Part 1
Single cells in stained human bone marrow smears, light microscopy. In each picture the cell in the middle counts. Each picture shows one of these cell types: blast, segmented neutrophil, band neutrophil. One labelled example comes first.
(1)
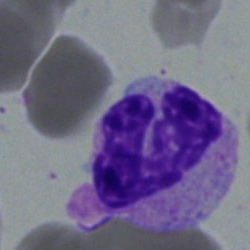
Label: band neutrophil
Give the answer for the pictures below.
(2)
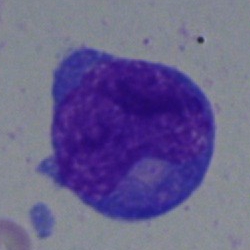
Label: blast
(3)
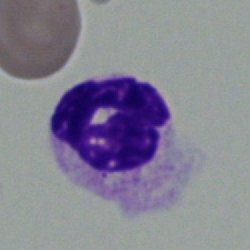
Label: segmented neutrophil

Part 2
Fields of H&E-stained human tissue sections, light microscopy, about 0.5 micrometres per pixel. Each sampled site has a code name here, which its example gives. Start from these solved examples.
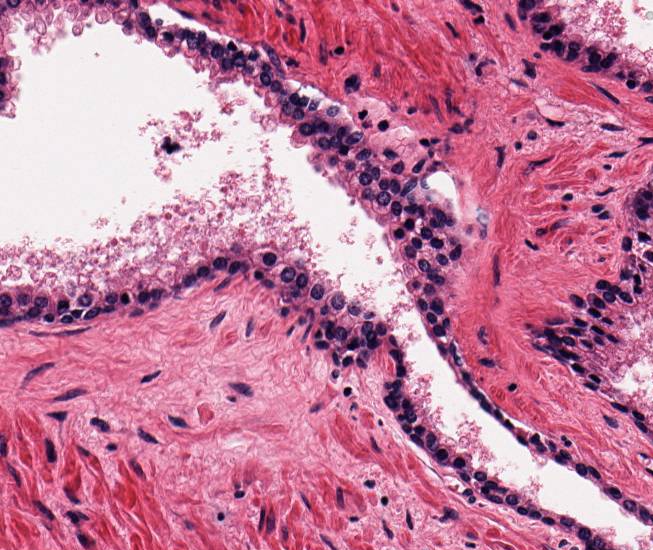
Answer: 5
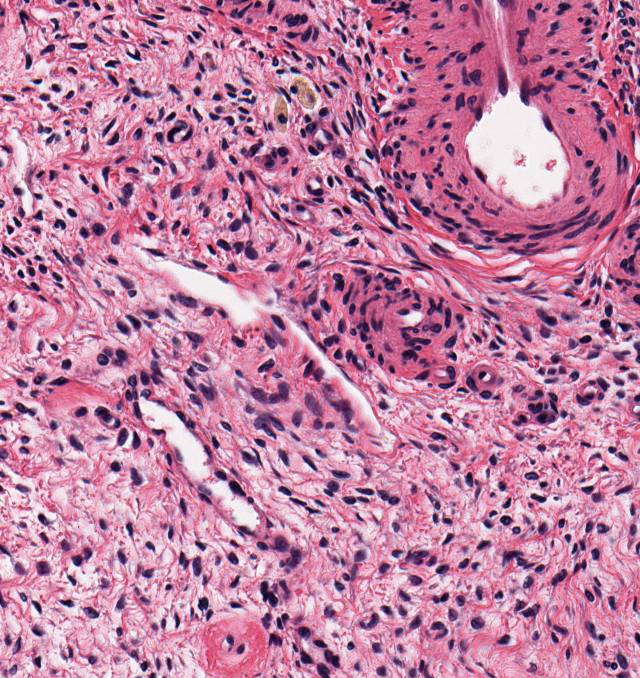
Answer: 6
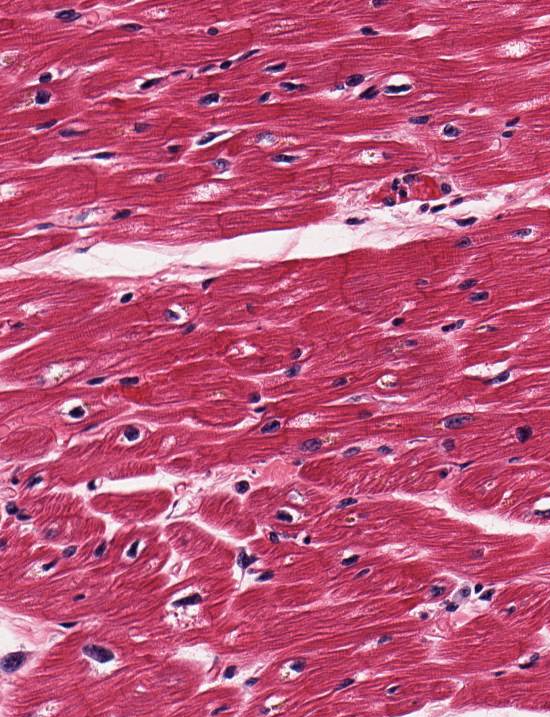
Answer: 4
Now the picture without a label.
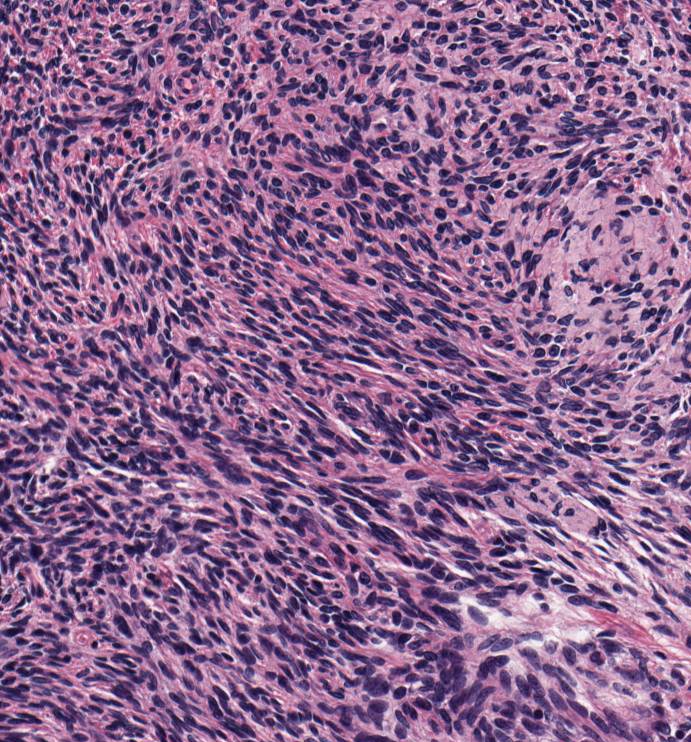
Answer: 6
